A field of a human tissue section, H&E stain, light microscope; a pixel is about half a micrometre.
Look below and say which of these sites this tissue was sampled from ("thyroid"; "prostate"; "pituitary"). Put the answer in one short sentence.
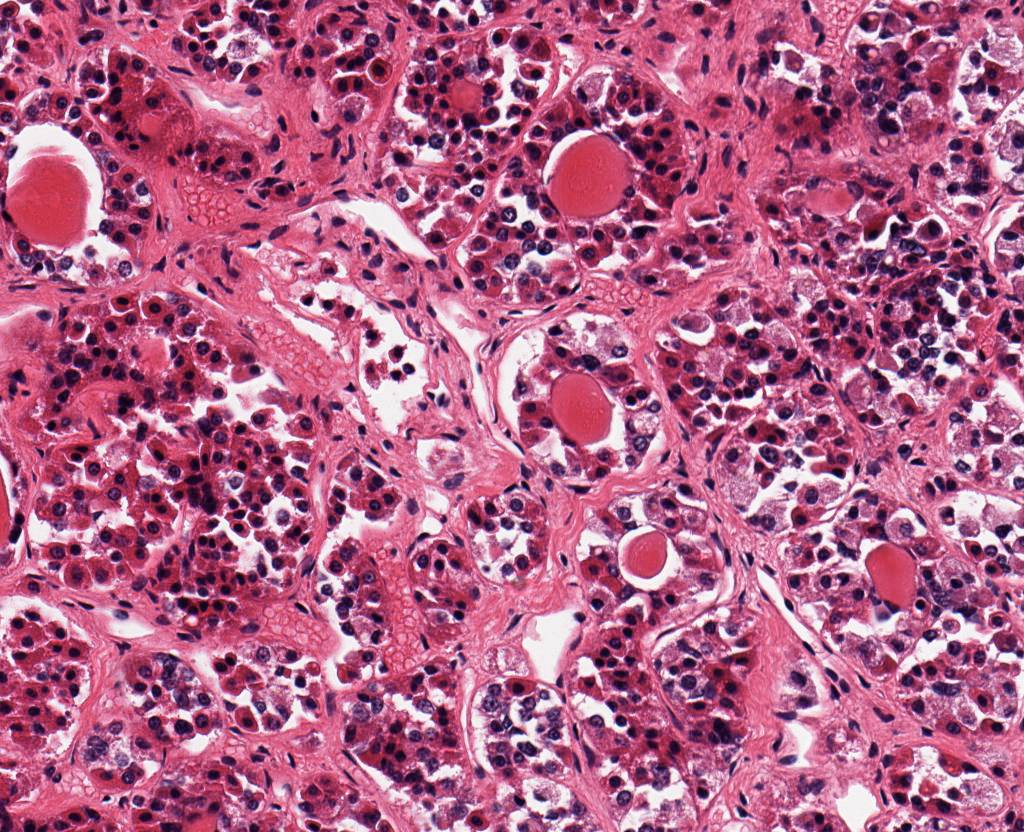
The site this tissue was sampled from is the pituitary.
